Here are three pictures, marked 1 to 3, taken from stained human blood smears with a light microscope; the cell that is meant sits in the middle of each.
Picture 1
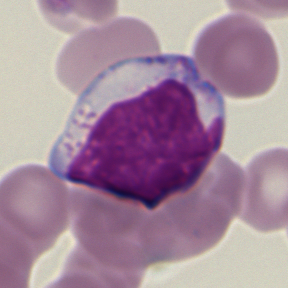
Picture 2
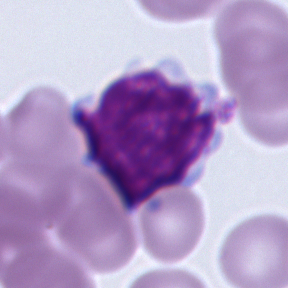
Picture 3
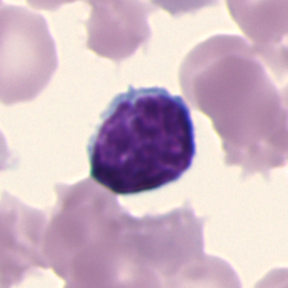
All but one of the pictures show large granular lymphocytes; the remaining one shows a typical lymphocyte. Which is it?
3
